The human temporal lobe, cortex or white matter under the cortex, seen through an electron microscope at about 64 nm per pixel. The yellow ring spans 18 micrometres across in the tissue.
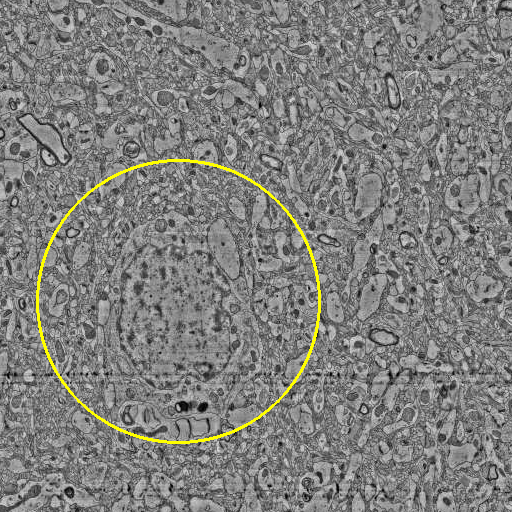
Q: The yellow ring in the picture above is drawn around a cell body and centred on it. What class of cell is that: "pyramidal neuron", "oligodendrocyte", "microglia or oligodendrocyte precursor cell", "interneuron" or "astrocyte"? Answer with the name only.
interneuron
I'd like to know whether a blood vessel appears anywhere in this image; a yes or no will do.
No, the image shows no blood vessel.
